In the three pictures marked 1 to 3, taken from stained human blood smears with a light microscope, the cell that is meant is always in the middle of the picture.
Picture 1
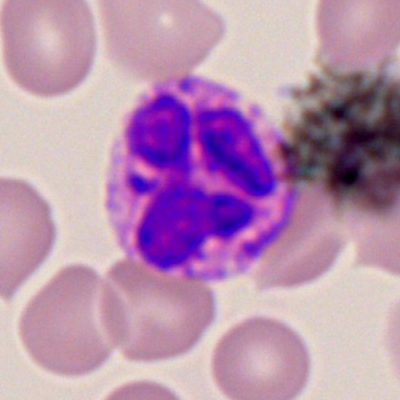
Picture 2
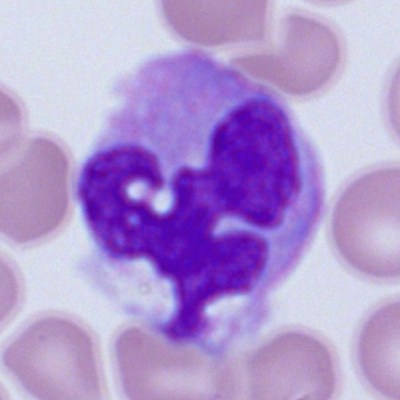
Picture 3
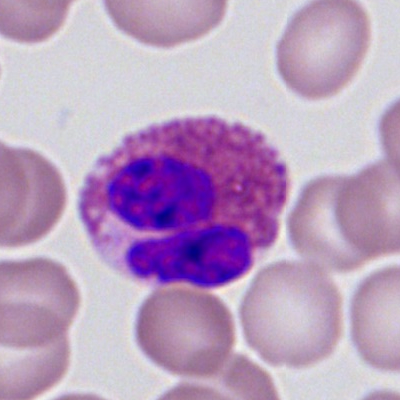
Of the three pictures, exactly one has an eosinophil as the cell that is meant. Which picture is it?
3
